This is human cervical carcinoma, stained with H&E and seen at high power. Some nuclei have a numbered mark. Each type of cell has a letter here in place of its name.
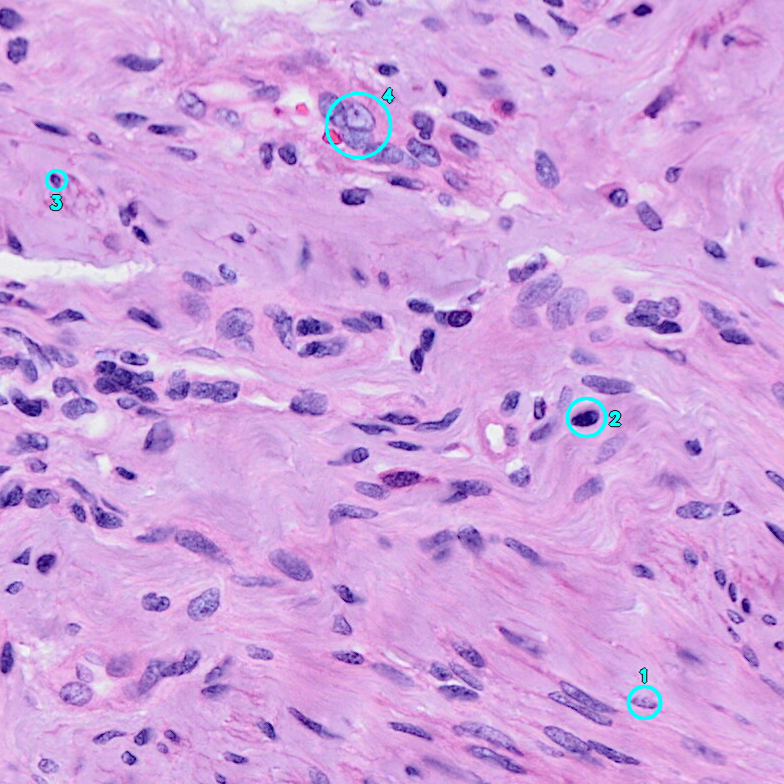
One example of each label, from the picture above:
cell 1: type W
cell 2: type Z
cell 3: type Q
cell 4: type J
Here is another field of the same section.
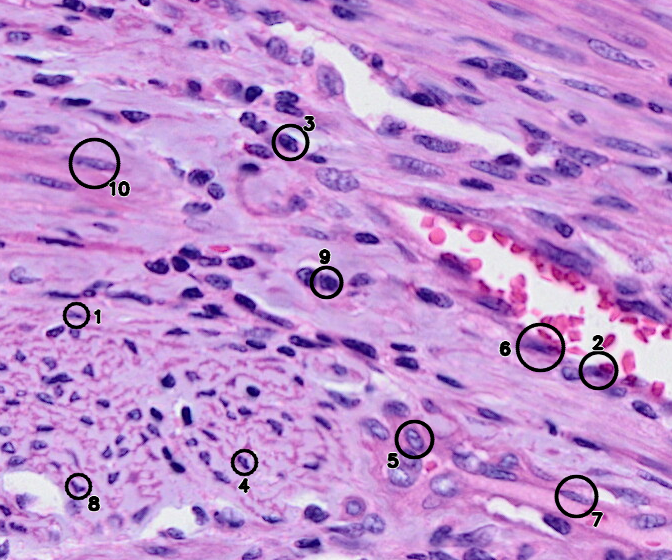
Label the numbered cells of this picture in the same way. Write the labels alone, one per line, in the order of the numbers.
type W
type J
type Z
type Q
type J
type J
type J
type W
type Z
type Q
